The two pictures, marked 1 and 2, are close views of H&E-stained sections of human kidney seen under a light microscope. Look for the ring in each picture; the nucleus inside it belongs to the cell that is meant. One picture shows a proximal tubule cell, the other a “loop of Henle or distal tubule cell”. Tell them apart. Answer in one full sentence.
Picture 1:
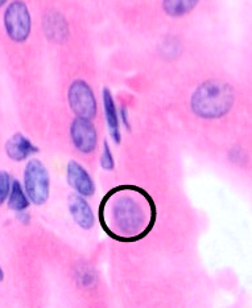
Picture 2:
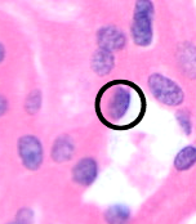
The cell in picture 1 is a proximal tubule cell, and the one in picture 2 is a “loop of Henle or distal tubule cell”.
